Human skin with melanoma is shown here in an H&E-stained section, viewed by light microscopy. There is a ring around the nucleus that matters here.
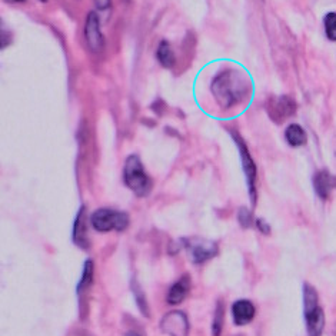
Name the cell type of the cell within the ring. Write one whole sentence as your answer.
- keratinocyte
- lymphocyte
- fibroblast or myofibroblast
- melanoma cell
In cellular terms, the cell within the ring is a fibroblast or myofibroblast.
